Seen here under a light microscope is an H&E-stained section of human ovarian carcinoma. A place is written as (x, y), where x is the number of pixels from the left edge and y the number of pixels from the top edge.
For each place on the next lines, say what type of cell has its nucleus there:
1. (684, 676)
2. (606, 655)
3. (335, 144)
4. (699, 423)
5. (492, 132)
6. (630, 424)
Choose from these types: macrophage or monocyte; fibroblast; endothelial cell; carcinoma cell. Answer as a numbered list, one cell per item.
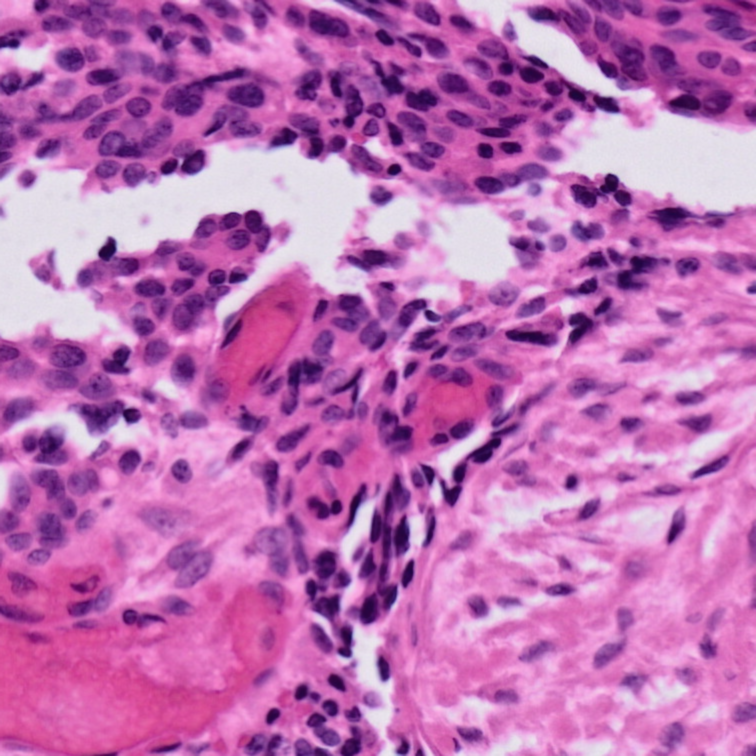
1. fibroblast
2. fibroblast
3. carcinoma cell
4. fibroblast
5. carcinoma cell
6. fibroblast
